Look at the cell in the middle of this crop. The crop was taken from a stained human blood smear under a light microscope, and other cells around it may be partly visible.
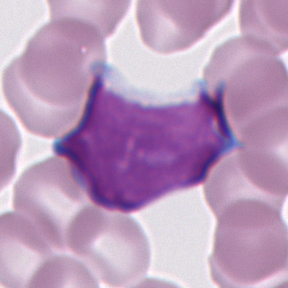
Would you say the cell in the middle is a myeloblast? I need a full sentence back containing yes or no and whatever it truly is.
No, the middle one is a typical lymphocyte rather than a myeloblast.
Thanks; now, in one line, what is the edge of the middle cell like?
The boundary of the cell runs irregularly, ragged in parts or drawn into projections.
